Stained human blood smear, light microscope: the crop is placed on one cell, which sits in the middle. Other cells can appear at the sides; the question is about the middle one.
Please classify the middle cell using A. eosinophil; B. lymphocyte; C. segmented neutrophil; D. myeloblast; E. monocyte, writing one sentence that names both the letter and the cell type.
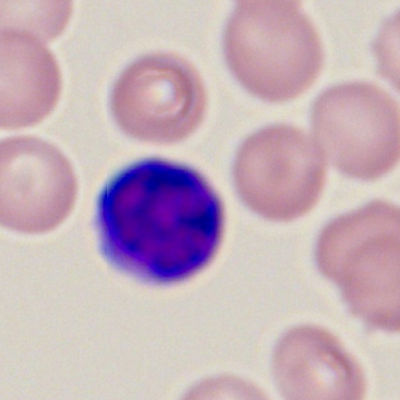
The centered cell is a lymphocyte, which is why option B is right.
